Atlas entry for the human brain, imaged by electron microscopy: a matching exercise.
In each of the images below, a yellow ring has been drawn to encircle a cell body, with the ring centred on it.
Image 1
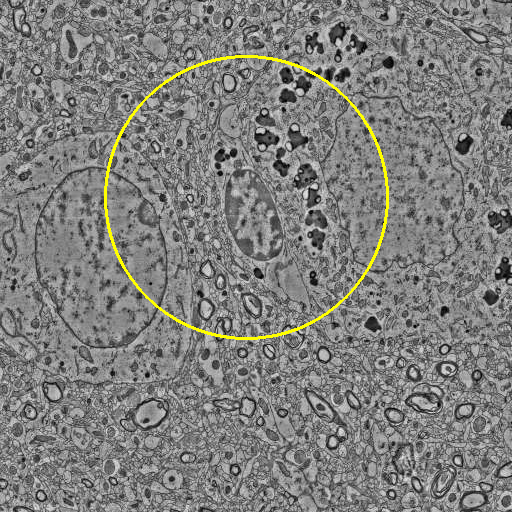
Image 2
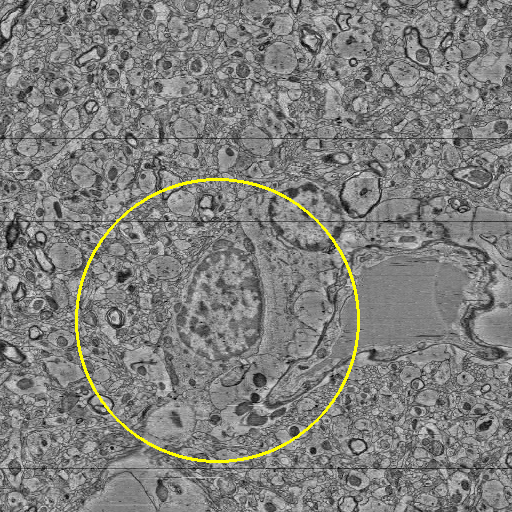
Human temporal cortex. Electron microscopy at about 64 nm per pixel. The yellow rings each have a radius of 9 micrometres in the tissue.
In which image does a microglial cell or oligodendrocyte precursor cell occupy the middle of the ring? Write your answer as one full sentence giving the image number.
In image 1, the ring is centred on the cell in question.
